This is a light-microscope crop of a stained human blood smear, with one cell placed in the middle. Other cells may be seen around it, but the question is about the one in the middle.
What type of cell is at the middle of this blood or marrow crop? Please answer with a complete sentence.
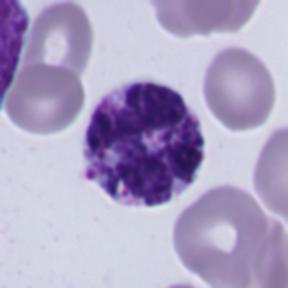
Occupying the centre of the crop is a basophil.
